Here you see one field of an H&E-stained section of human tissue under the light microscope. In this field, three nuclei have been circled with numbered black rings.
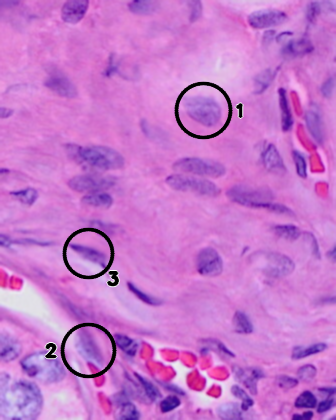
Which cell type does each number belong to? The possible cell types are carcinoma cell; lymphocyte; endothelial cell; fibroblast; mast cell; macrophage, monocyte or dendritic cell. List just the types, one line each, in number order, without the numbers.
fibroblast
endothelial cell
fibroblast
